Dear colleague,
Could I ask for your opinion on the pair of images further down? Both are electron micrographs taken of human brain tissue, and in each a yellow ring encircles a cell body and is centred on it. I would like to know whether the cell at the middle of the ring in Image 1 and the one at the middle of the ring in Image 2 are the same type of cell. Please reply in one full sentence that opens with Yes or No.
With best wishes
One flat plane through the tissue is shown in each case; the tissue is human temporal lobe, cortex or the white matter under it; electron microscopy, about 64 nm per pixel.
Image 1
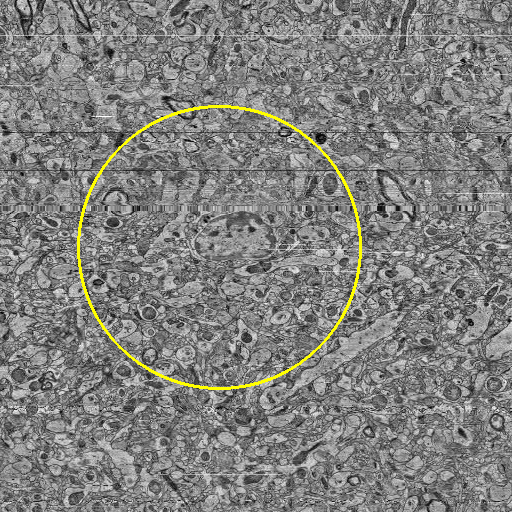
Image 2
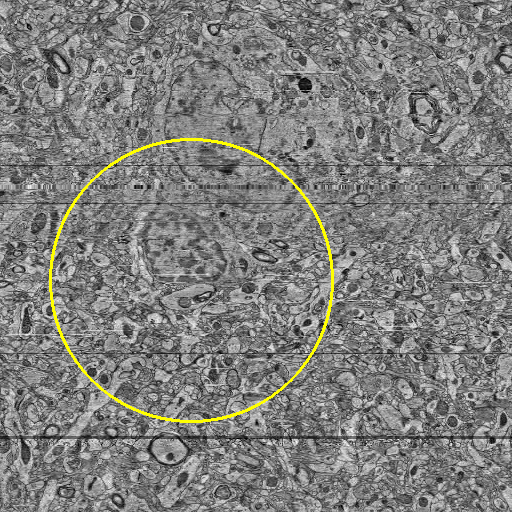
No, the cells at the ring centres in Image 1 and Image 2 are of two types.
